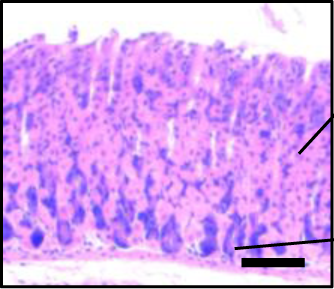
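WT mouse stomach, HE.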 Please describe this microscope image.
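At the bottom of the glands the cells change: clusters of cells with dense purple-blue cytoplasm fill the gland bases, the chief cells. The mucosa sits on a thin pale band of submucosa at the lower edge, and the surface epithelium lines the top.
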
